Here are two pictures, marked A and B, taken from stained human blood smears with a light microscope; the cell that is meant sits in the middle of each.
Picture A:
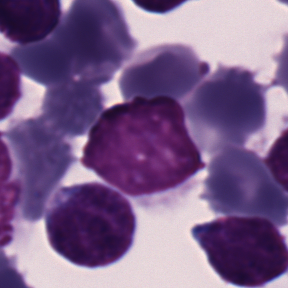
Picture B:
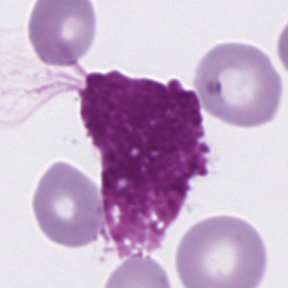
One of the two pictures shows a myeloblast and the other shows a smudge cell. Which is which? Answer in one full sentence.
The cell in picture A is a myeloblast, and the one in picture B is a smudge cell.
